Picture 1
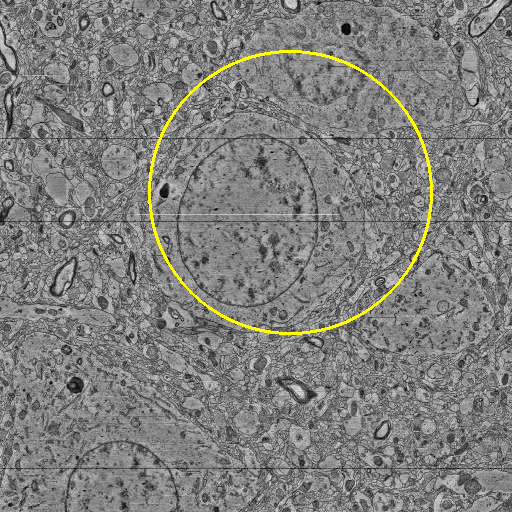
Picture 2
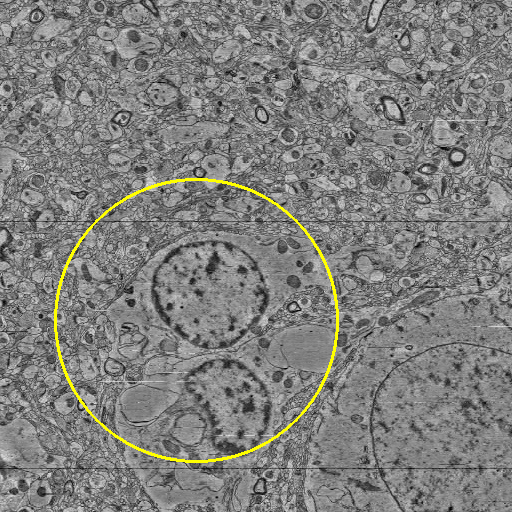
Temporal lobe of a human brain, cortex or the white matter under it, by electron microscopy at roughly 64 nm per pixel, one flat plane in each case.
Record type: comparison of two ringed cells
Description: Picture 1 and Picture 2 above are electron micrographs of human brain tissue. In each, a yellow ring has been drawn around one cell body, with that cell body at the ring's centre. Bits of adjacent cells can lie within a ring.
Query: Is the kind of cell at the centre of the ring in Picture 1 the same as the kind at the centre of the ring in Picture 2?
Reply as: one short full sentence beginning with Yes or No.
No, the two ringed cells are of two separate kinds.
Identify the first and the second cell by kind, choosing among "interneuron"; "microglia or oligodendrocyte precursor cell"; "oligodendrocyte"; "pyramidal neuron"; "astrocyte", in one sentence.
The one in the first picture is a pyramidal neuron, while the one in the second is an astrocyte.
